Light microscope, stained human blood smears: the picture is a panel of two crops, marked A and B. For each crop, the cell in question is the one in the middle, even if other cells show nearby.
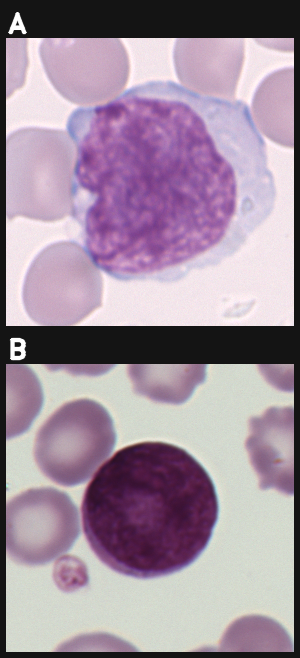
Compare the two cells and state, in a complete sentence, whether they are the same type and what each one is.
Yes, at the centre of both crops are myeloblasts.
